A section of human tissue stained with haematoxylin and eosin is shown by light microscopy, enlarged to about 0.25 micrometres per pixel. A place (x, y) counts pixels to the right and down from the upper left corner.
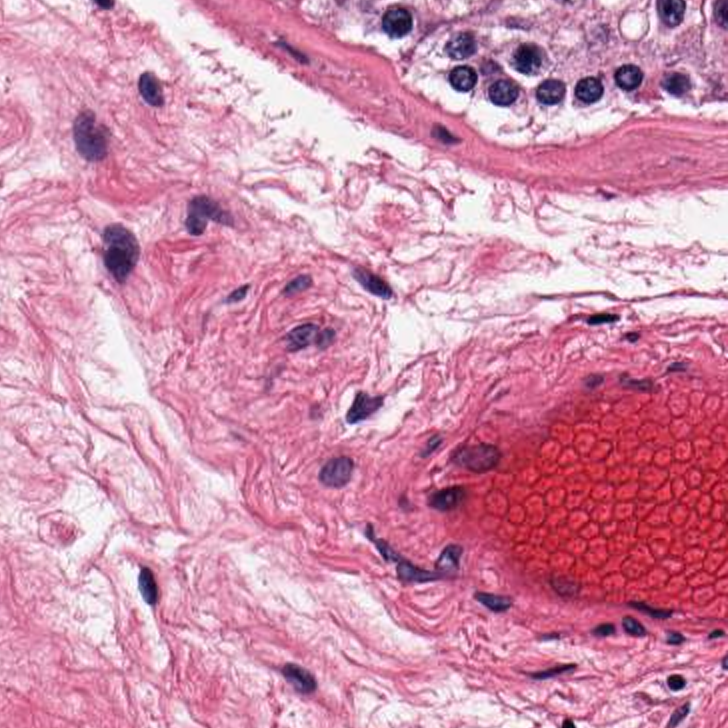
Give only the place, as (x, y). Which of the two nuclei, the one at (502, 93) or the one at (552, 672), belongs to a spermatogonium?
(502, 93)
